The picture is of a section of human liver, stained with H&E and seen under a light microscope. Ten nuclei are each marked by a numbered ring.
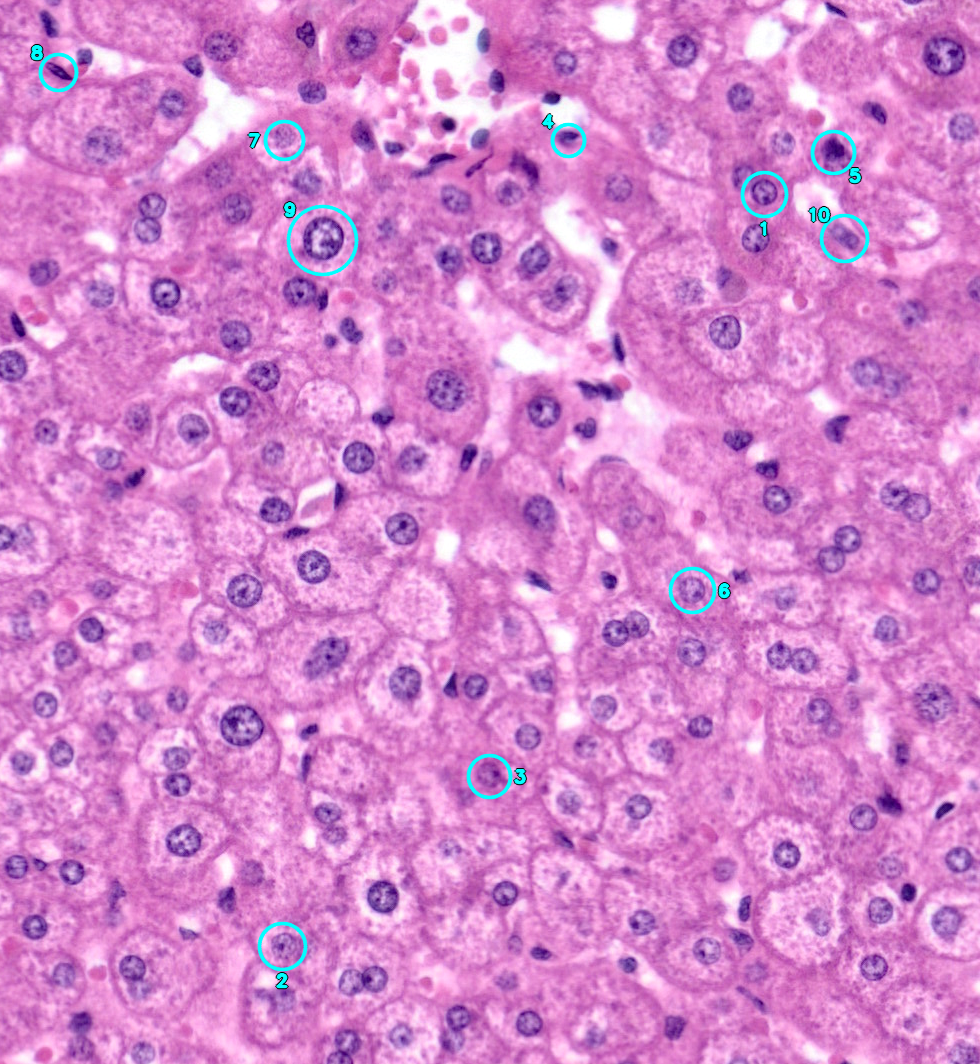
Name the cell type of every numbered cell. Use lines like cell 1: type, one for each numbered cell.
cell 1: hepatocyte
cell 2: hepatocyte
cell 3: hepatocyte
cell 4: fibroblast or stellate cell
cell 5: fibroblast or stellate cell
cell 6: hepatocyte
cell 7: hepatocyte
cell 8: fibroblast or stellate cell
cell 9: hepatocyte
cell 10: Kupffer cell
